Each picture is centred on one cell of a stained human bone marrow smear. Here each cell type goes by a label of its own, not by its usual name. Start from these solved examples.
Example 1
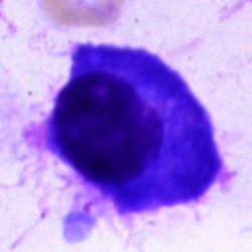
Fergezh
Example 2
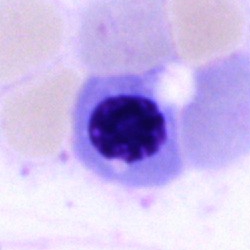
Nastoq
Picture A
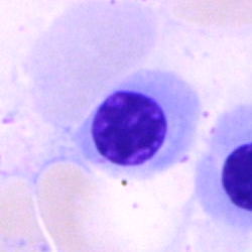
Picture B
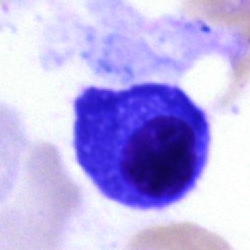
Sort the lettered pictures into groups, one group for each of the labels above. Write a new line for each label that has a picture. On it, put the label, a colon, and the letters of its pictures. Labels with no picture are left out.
Fergezh: B
Nastoq: A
